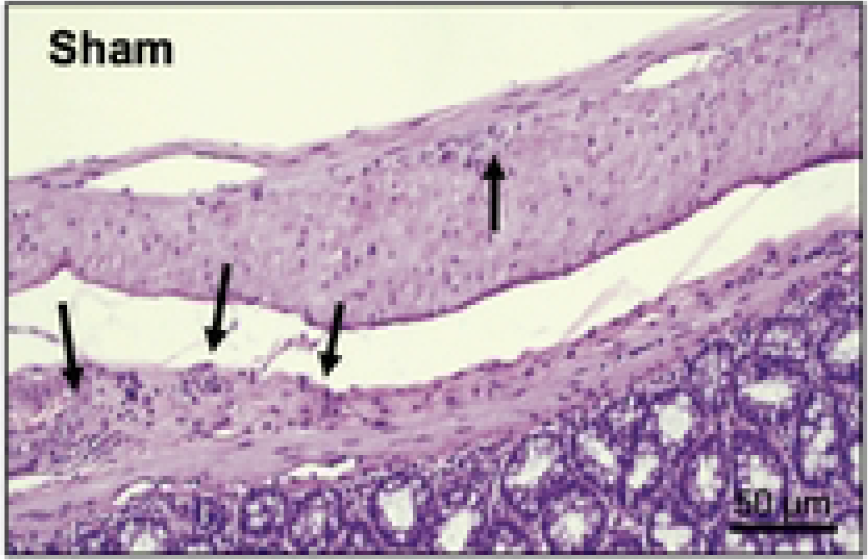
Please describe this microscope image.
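Colon wall in section with ganglionic cells of the myenteric plexus lying within the muscular coat. Small clusters of cells with rounded purple nuclei sit between pink layers of smooth muscle, which carry scattered elongated nuclei. Clefts separate the muscle layers. At the lower right lies the mucosa, with round crypts lined by epithelial cells with dark purple nuclei.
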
